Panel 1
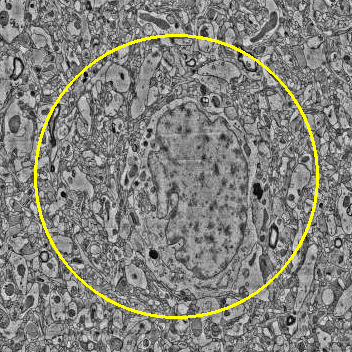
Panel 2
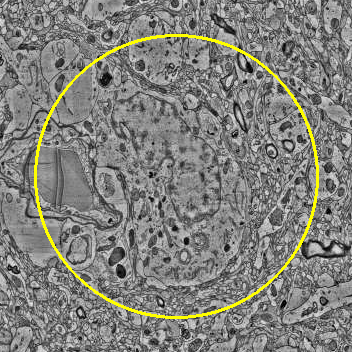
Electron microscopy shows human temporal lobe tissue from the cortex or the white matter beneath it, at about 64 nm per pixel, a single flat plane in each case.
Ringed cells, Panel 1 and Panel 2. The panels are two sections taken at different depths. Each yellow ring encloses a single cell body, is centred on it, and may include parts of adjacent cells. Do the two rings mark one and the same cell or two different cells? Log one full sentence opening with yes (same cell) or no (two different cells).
No, the two rings are drawn around two distinct cells.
